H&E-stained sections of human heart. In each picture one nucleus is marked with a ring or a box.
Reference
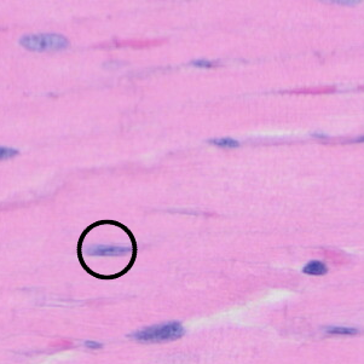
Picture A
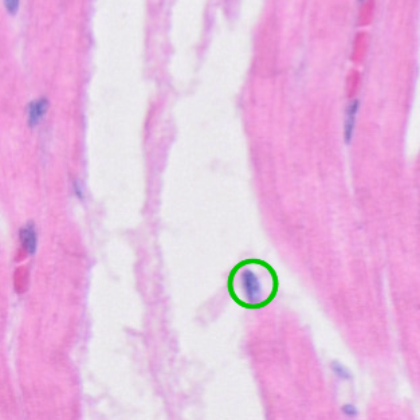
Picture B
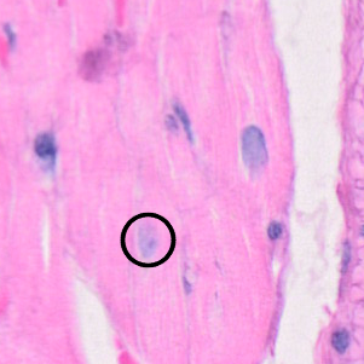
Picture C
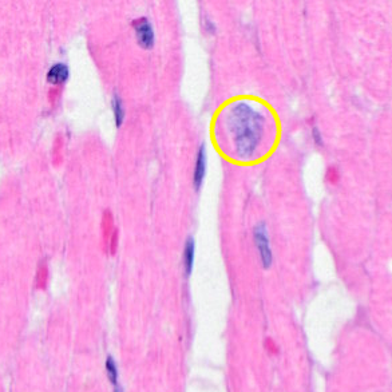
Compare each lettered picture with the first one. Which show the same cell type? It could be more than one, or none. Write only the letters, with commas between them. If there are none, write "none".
none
